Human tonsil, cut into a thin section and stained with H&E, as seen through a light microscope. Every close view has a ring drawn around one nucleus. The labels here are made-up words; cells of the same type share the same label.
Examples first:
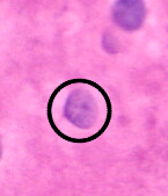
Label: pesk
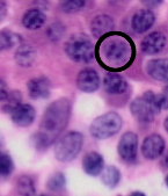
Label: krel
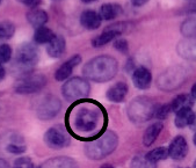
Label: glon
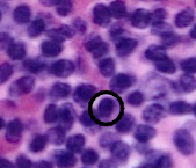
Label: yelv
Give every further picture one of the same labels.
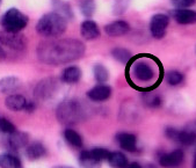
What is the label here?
glon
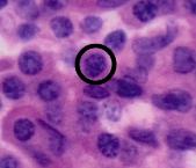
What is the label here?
krel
